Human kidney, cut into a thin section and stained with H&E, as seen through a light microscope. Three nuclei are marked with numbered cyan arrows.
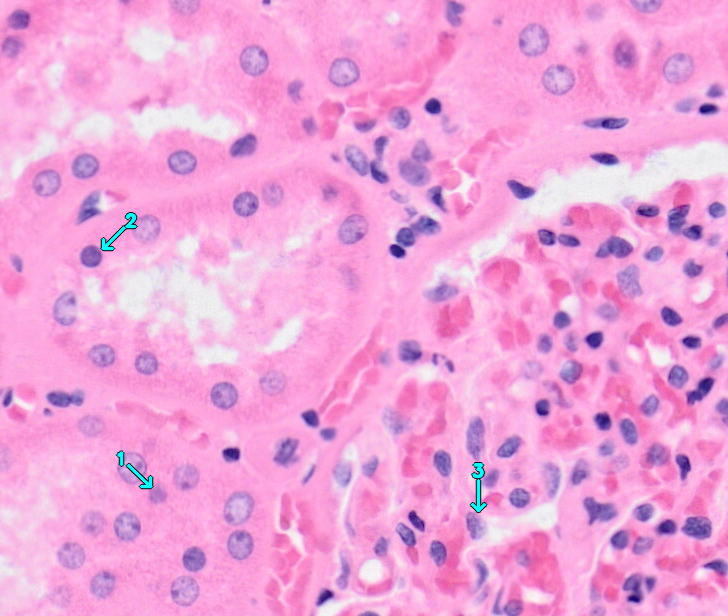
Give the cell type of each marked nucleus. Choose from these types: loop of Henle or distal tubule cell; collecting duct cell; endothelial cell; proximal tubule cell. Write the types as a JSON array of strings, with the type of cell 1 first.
["proximal tubule cell", "proximal tubule cell", "endothelial cell"]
